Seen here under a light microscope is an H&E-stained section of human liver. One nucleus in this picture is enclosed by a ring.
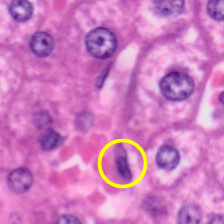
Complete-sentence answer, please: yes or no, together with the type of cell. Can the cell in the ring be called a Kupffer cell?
Yes, a Kupffer cell is what the cell in the ring is in this section.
